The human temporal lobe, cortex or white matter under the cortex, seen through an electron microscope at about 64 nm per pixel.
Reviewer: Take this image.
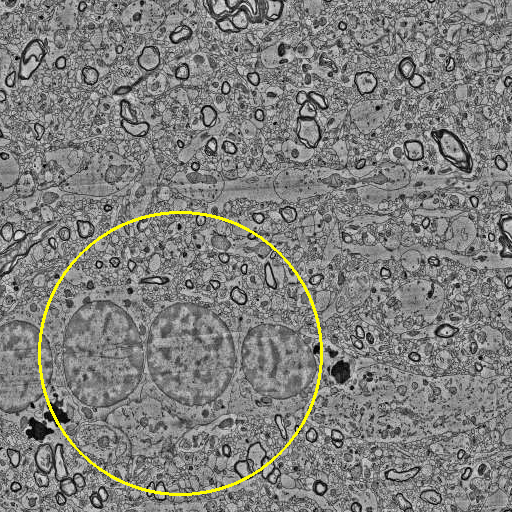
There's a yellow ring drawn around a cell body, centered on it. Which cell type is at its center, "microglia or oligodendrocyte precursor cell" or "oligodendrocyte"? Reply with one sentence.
At the center of the yellow ring is an oligodendrocyte.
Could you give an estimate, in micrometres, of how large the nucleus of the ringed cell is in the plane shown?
Approximately 7 by 6 micrometers in this plane.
